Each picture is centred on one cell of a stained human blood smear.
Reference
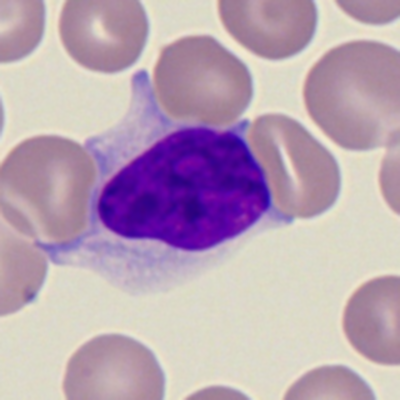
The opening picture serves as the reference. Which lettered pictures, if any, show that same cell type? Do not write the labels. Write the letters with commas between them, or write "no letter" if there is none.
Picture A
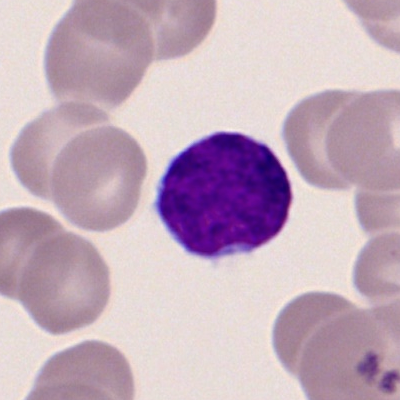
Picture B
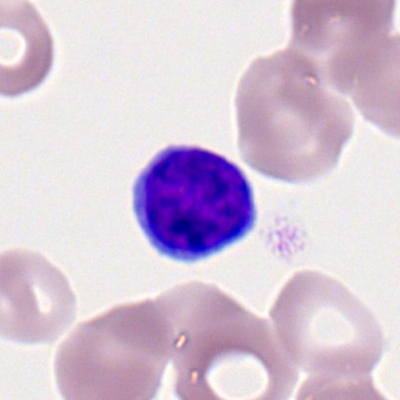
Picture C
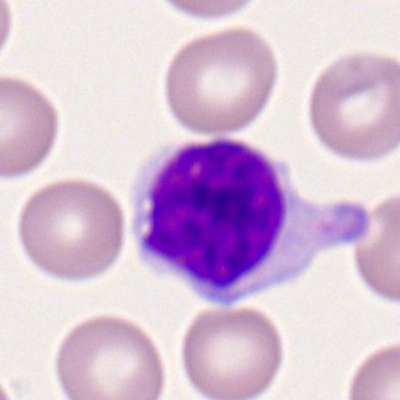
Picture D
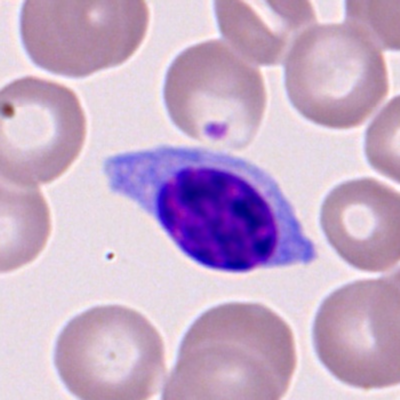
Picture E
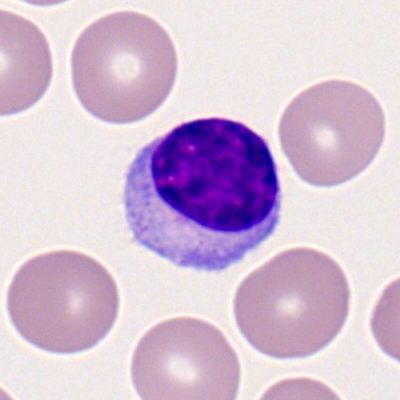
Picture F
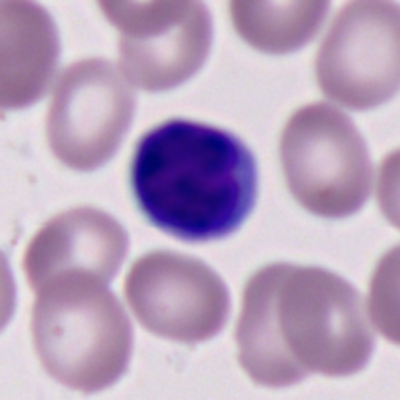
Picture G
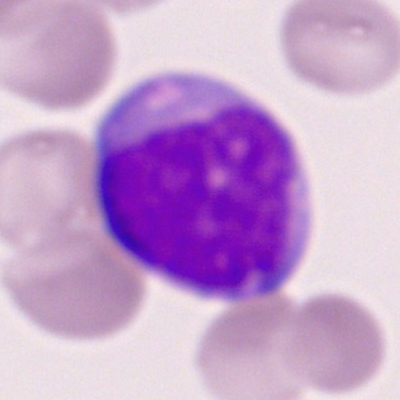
A, B, C, D, E, F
